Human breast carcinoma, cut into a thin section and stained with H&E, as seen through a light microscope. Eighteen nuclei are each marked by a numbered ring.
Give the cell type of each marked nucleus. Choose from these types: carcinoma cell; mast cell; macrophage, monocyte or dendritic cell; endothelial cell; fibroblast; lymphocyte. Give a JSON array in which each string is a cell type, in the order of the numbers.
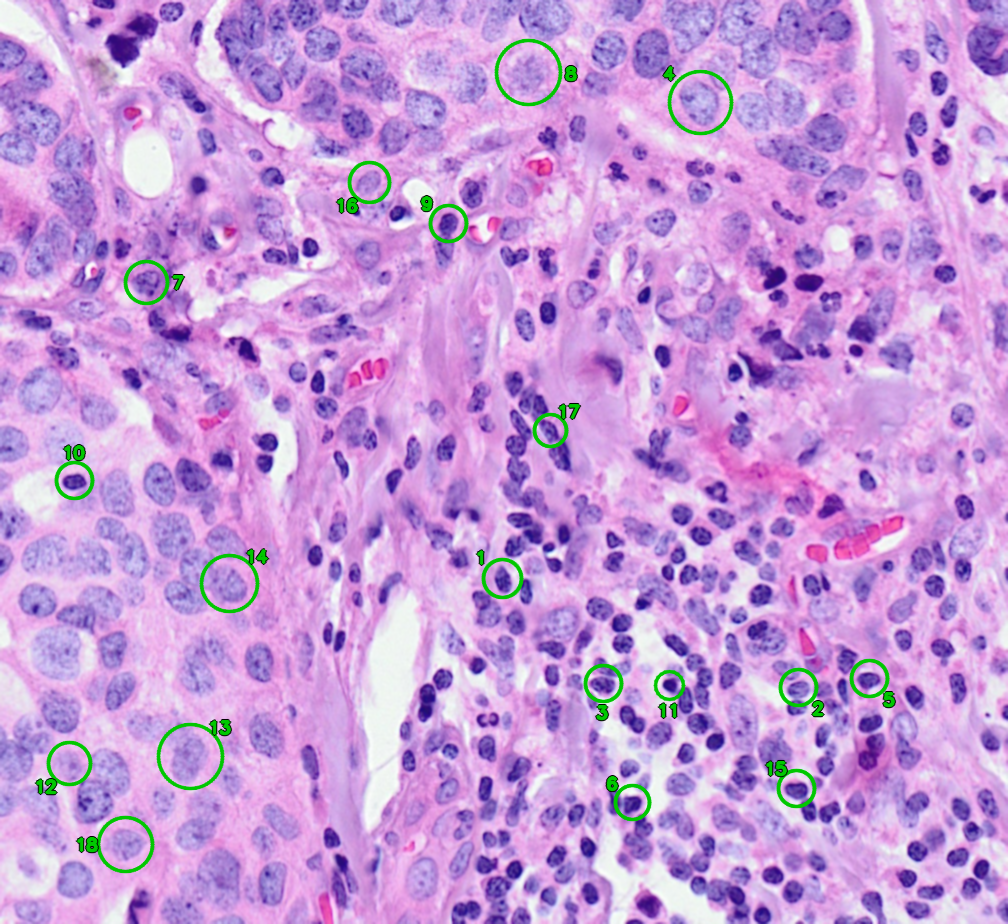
["lymphocyte", "lymphocyte", "lymphocyte", "carcinoma cell", "lymphocyte", "lymphocyte", "macrophage, monocyte or dendritic cell", "carcinoma cell", "lymphocyte", "lymphocyte", "lymphocyte", "carcinoma cell", "carcinoma cell", "carcinoma cell", "lymphocyte", "macrophage, monocyte or dendritic cell", "lymphocyte", "carcinoma cell"]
